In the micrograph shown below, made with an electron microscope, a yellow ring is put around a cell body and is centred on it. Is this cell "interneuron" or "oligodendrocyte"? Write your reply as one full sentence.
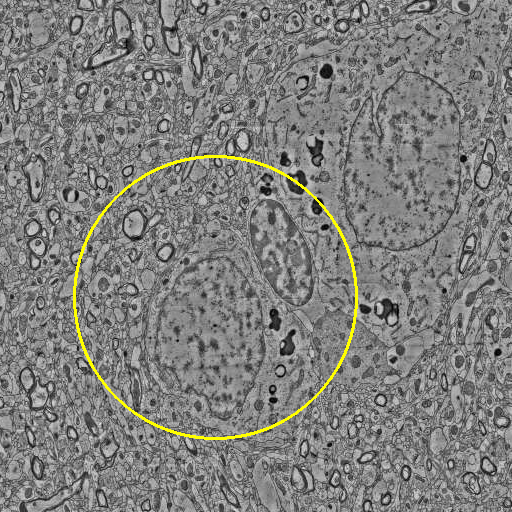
In the micrograph, an interneuron is the cell at the centre of the yellow ring.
